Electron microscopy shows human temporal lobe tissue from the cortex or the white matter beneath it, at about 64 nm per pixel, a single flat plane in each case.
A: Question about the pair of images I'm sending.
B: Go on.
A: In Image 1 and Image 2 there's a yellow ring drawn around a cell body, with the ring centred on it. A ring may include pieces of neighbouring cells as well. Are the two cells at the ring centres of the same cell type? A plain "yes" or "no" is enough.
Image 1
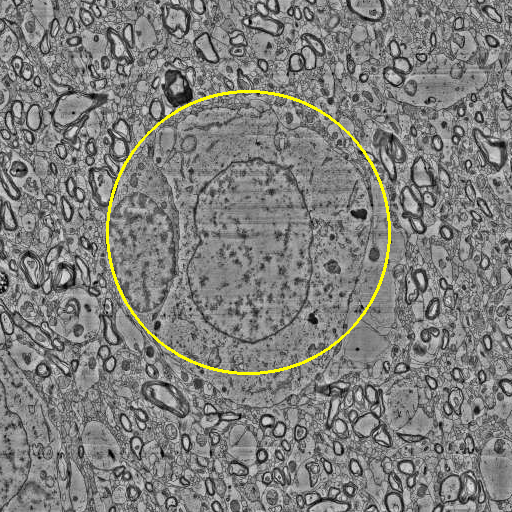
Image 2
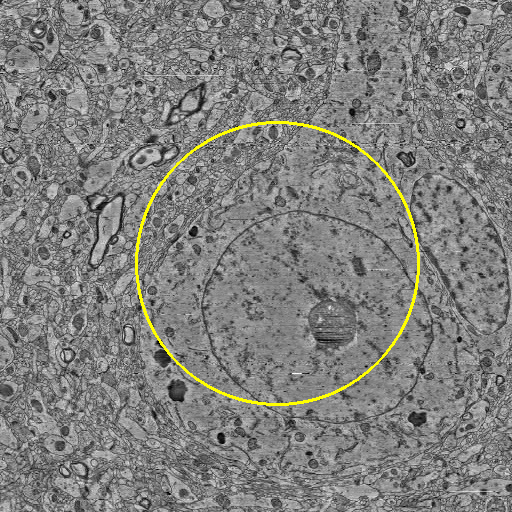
yes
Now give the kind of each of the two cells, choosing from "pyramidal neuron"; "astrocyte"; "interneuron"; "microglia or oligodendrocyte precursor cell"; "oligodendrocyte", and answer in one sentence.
Both cells are the same kind, each one being a pyramidal neuron.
